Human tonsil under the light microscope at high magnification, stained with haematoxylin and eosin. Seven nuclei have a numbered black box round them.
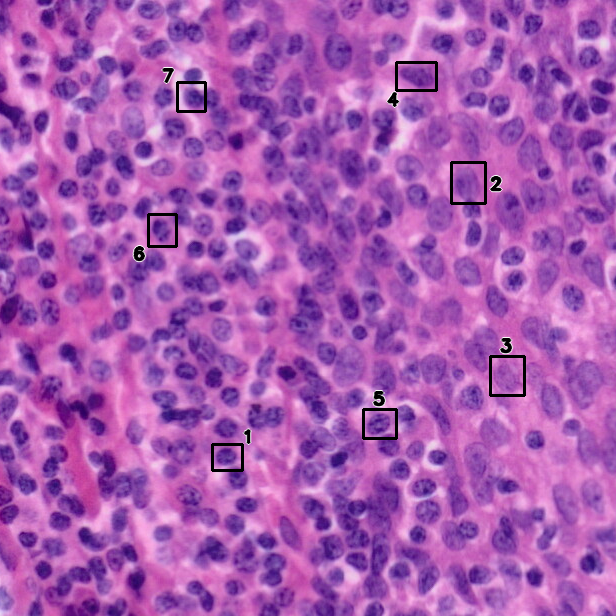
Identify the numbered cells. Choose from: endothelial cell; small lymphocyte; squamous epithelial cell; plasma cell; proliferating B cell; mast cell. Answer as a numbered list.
1. plasma cell
2. squamous epithelial cell
3. squamous epithelial cell
4. squamous epithelial cell
5. plasma cell
6. plasma cell
7. plasma cell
